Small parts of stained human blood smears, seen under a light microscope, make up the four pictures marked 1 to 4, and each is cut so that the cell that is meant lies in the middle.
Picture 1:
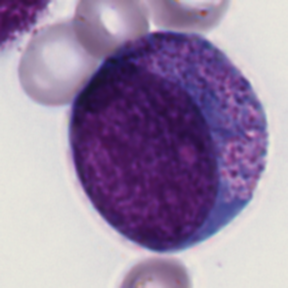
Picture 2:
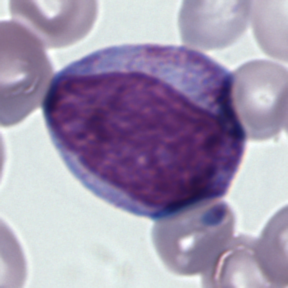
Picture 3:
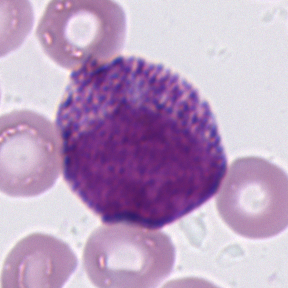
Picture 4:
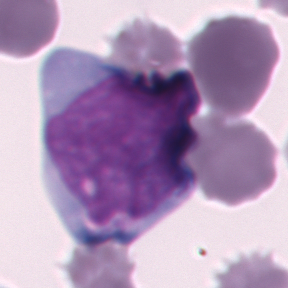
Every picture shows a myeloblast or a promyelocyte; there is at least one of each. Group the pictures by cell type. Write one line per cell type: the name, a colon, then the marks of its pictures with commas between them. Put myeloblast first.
myeloblast: 4
promyelocyte: 1, 2, 3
